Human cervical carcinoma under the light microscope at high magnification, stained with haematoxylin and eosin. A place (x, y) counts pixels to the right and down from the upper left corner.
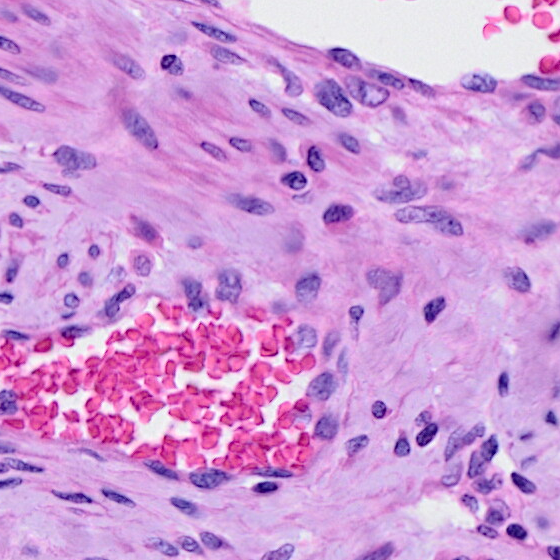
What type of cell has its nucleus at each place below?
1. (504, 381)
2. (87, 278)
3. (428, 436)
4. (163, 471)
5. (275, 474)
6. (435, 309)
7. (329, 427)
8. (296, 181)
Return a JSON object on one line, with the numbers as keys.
{"1": "fibroblast", "2": "smooth muscle cell", "3": "lymphocyte", "4": "endothelial cell", "5": "endothelial cell", "6": "lymphocyte", "7": "endothelial cell", "8": "lymphocyte"}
